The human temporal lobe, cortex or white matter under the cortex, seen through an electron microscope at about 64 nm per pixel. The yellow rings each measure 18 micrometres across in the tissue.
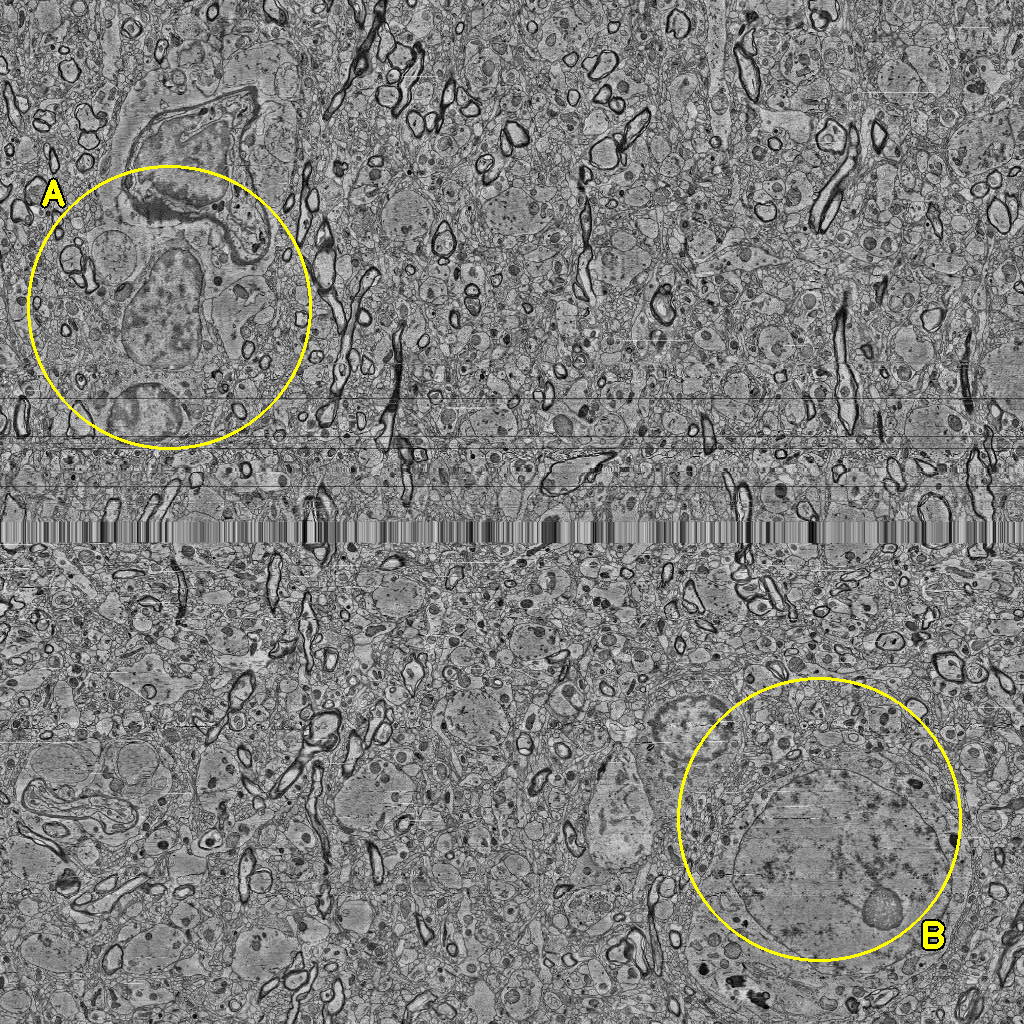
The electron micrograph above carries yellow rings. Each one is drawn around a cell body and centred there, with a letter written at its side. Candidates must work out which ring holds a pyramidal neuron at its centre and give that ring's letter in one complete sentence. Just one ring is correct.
Letter B marks the ring whose centre holds that kind of cell.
